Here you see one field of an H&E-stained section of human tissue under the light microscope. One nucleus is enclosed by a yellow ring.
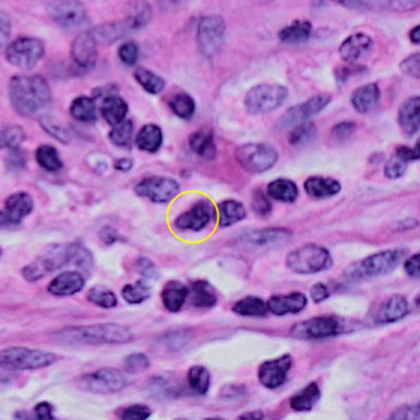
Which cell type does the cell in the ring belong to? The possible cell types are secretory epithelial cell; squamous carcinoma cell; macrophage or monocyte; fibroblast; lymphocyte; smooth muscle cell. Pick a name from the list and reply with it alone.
lymphocyte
